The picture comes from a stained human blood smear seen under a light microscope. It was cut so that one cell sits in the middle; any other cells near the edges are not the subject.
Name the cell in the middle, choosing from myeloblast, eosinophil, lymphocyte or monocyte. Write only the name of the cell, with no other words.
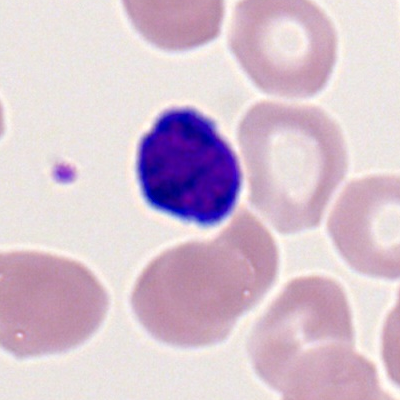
lymphocyte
